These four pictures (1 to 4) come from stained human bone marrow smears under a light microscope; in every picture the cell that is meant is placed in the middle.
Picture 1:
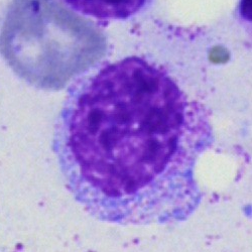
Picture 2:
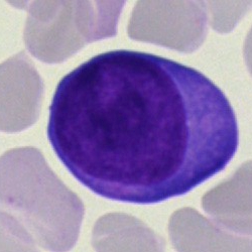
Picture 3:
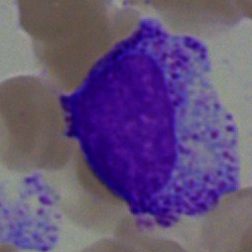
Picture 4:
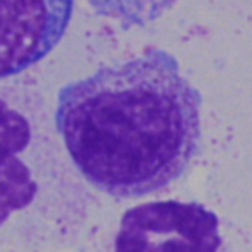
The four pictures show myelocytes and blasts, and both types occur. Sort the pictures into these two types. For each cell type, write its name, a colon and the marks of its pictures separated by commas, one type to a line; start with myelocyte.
myelocyte: 1, 3, 4
blast: 2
